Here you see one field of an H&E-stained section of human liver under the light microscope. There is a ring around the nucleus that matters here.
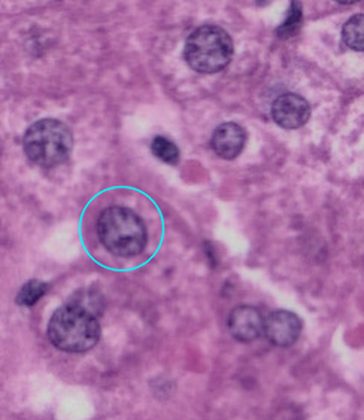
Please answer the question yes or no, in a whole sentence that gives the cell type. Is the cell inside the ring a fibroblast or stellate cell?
No, the cell inside the ring is to be classified as a hepatocyte rather than a fibroblast or stellate cell.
